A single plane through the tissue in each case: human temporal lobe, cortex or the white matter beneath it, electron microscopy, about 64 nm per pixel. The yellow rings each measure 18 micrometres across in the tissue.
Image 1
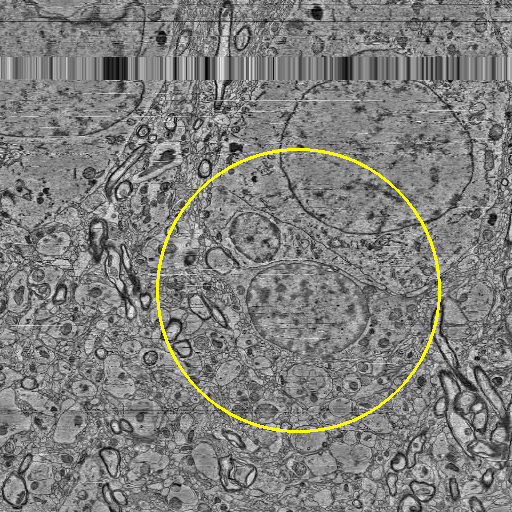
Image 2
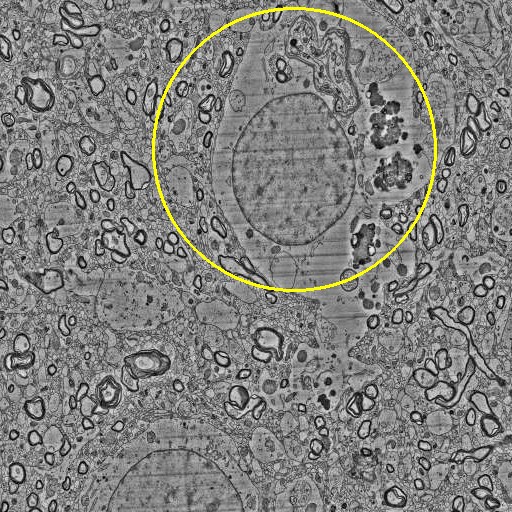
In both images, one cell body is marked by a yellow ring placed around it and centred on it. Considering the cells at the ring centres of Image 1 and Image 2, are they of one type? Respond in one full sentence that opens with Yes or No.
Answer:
No, two types apply to the ring-centred cells of Image 1 and Image 2.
